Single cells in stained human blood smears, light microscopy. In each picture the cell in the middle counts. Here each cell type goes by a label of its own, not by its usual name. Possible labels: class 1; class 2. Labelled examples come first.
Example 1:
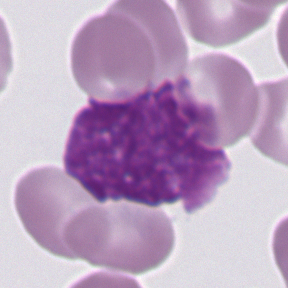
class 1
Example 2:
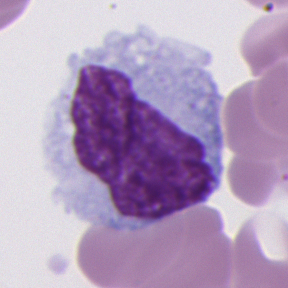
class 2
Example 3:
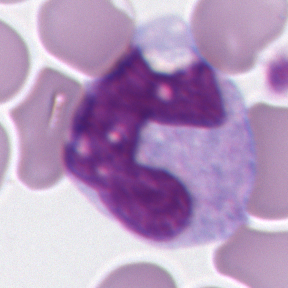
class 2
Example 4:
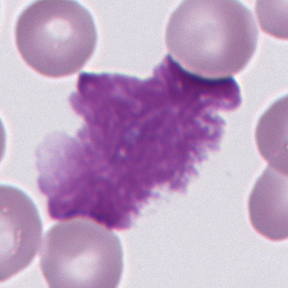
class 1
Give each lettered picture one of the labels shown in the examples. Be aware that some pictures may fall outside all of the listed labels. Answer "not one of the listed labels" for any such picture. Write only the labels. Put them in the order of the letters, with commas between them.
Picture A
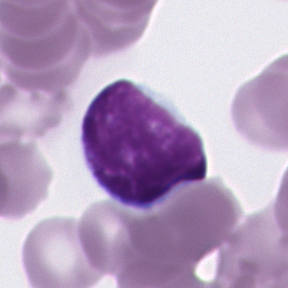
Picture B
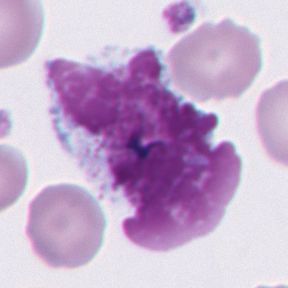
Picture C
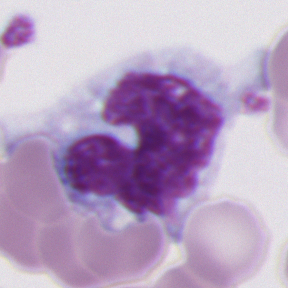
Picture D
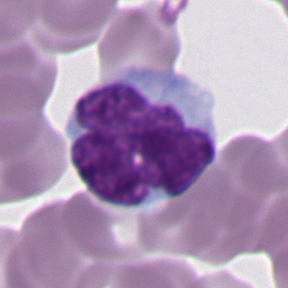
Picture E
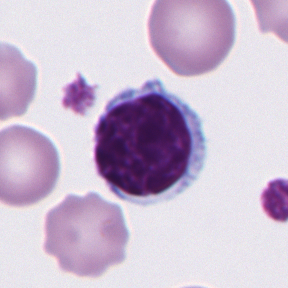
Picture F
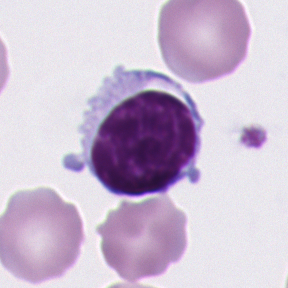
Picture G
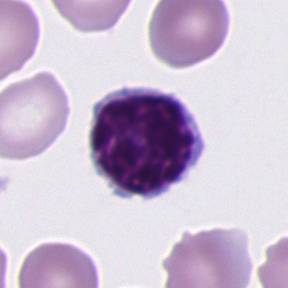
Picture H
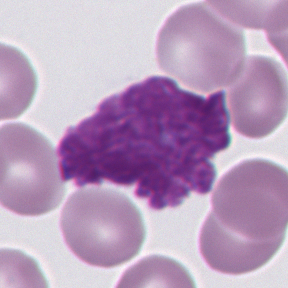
not one of the listed labels, class 1, class 2, class 2, not one of the listed labels, not one of the listed labels, not one of the listed labels, class 1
